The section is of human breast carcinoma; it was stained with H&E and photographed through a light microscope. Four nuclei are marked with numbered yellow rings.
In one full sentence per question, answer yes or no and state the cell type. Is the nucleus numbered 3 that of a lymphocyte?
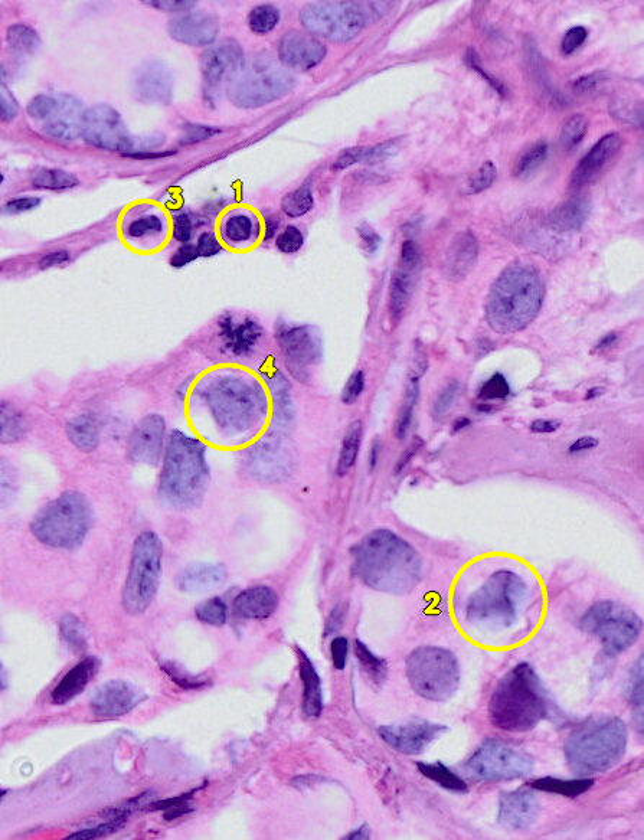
Yes, a lymphocyte is what the cell numbered 3 is.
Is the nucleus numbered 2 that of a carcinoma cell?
Yes, the cell that is numbered 2 is a carcinoma cell.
